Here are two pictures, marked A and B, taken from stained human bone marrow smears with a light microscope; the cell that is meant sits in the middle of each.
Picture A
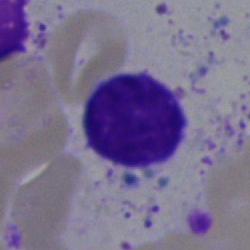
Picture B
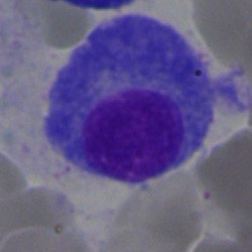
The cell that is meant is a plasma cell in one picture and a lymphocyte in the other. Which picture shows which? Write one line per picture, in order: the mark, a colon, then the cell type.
A: lymphocyte
B: plasma cell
